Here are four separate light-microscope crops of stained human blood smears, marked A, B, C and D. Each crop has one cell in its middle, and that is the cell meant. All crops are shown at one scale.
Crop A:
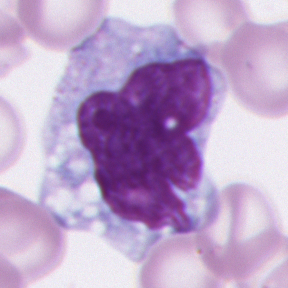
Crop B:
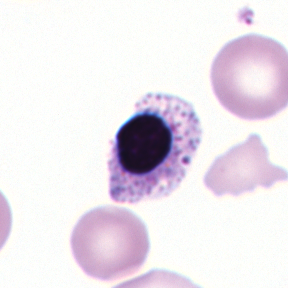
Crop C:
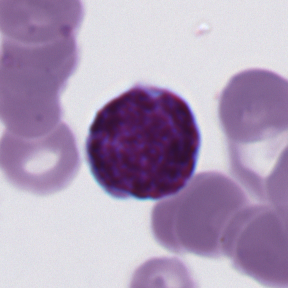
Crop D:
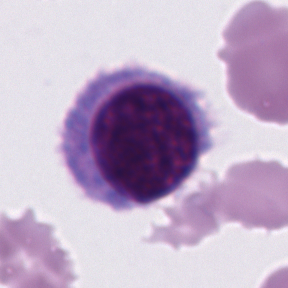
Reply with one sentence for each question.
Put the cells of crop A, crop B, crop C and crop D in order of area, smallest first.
Going up, they run B, C, D, A.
